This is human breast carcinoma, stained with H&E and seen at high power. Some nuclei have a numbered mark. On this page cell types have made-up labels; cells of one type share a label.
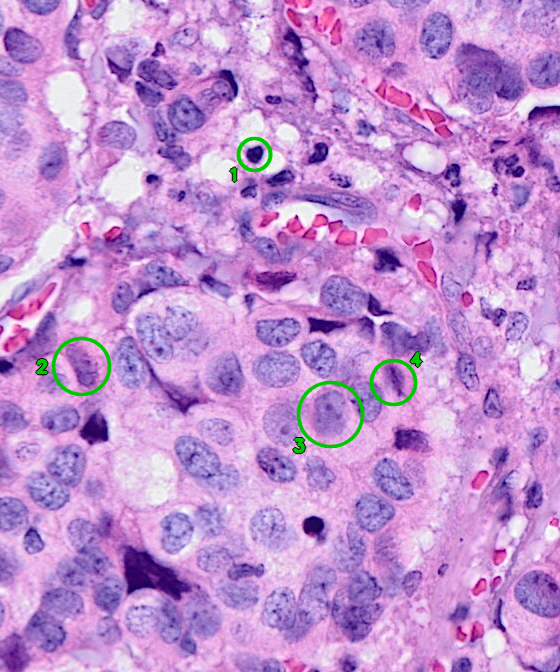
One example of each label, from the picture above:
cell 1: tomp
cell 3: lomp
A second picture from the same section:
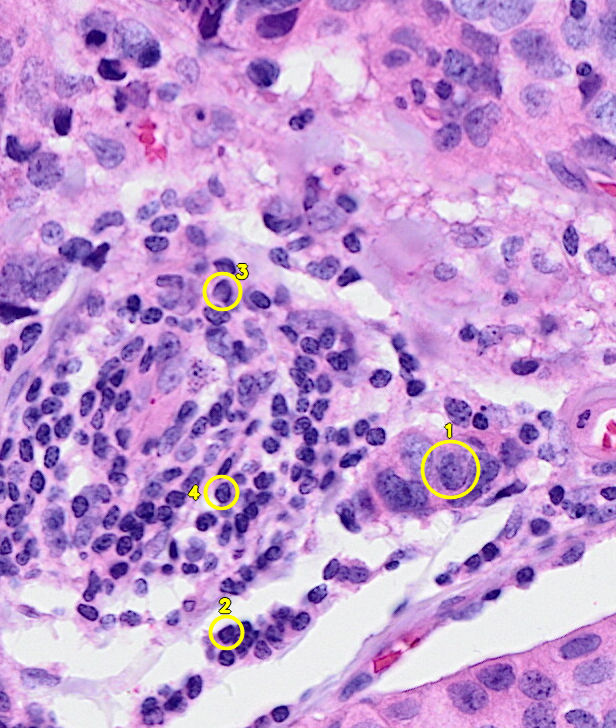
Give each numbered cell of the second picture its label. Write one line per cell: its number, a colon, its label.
1: lomp
2: tomp
3: tomp
4: tomp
